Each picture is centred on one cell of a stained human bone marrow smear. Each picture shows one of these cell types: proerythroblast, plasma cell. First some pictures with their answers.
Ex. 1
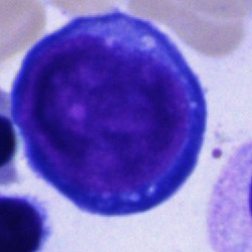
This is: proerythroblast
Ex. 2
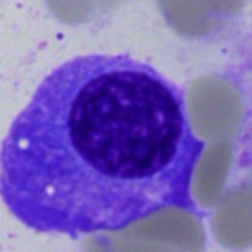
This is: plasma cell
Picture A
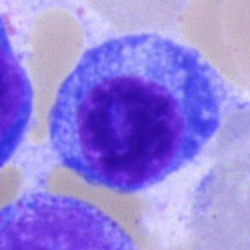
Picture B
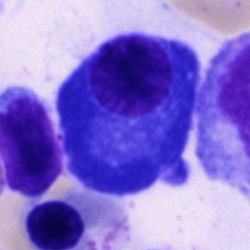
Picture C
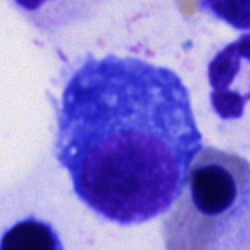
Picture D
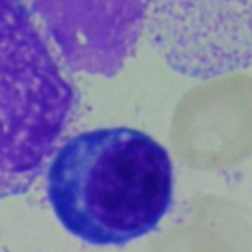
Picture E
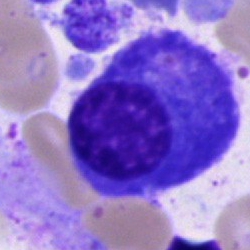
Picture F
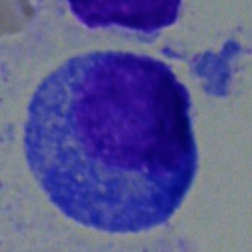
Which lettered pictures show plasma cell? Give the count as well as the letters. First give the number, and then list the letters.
Count: 6 (A, B, C, D, E, F)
